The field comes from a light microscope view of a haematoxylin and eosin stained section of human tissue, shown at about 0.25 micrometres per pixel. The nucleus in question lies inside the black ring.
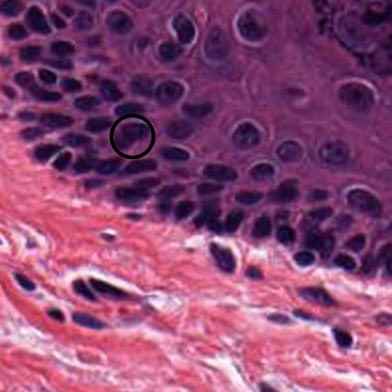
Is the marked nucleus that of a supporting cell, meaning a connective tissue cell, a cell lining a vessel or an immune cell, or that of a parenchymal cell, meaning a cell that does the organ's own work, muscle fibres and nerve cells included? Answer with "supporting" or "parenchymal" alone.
parenchymal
